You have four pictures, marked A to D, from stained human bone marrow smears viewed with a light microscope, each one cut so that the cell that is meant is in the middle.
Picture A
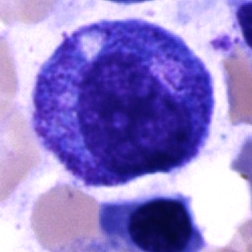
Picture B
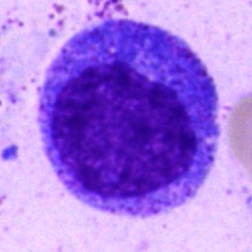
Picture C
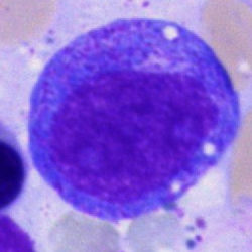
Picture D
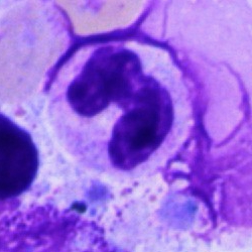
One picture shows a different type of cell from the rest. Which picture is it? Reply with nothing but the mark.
D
